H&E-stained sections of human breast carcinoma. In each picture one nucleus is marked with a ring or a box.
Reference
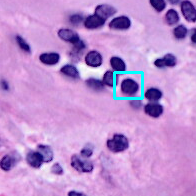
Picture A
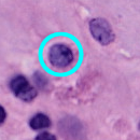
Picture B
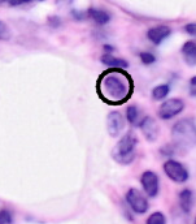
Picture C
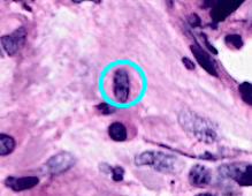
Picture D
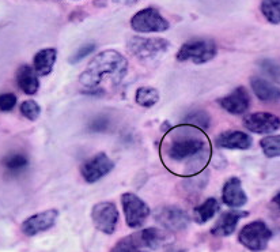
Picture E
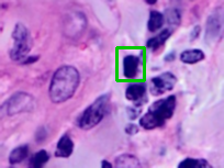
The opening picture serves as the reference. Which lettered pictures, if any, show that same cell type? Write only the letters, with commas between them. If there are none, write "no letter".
B, D, E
